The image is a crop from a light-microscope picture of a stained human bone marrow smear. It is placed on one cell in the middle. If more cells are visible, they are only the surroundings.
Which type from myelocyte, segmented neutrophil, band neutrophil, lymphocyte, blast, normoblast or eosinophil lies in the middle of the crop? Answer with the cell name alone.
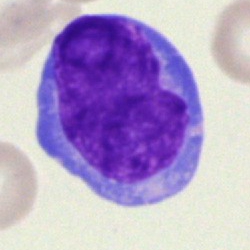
blast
